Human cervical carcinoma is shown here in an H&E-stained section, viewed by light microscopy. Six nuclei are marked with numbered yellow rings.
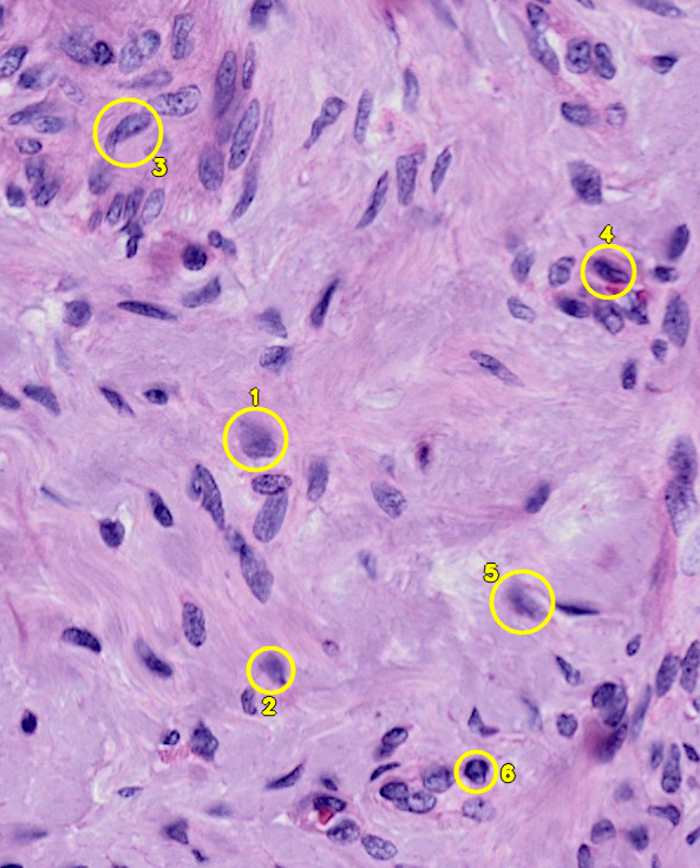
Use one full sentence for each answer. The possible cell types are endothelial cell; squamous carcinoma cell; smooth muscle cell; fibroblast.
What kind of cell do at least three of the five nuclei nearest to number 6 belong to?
Most of the five nuclei nearest to number 6 are those of endothelial cells.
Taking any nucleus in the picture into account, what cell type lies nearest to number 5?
The nearest nucleus to number 5 belongs to a fibroblast.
